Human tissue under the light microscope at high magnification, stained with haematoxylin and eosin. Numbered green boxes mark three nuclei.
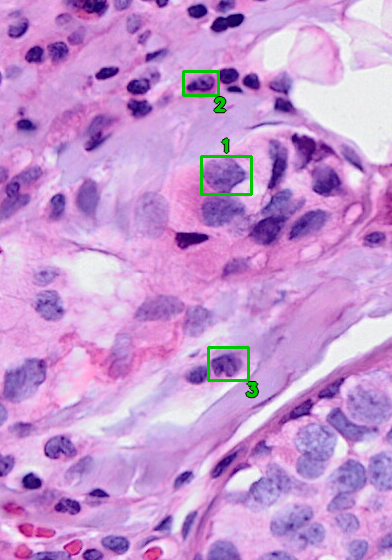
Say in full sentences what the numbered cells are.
Cell 1 is a carcinoma cell. Cell 2 is a mast cell. Cell 3 is a macrophage, monocyte or dendritic cell.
